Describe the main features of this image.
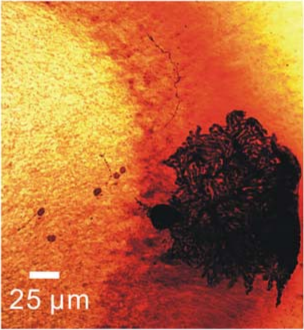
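A single neuron filled with a dark label stands out against an orange-brown background of brain tissue. Its cell body is a small, rounded black profile at one side of the labeled structure. From it a dense, bushy arbor of fine, tortuous, highly branched dendrites spreads out, so tightly packed that individual branches overlap into a nearly solid dark mass. The surrounding tissue shows a paler band on one side and a darker, more reddish band on the other, suggesting different layers of the cortex. A few small dark dots are scattered in the paler tissue beside the labeled cell.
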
